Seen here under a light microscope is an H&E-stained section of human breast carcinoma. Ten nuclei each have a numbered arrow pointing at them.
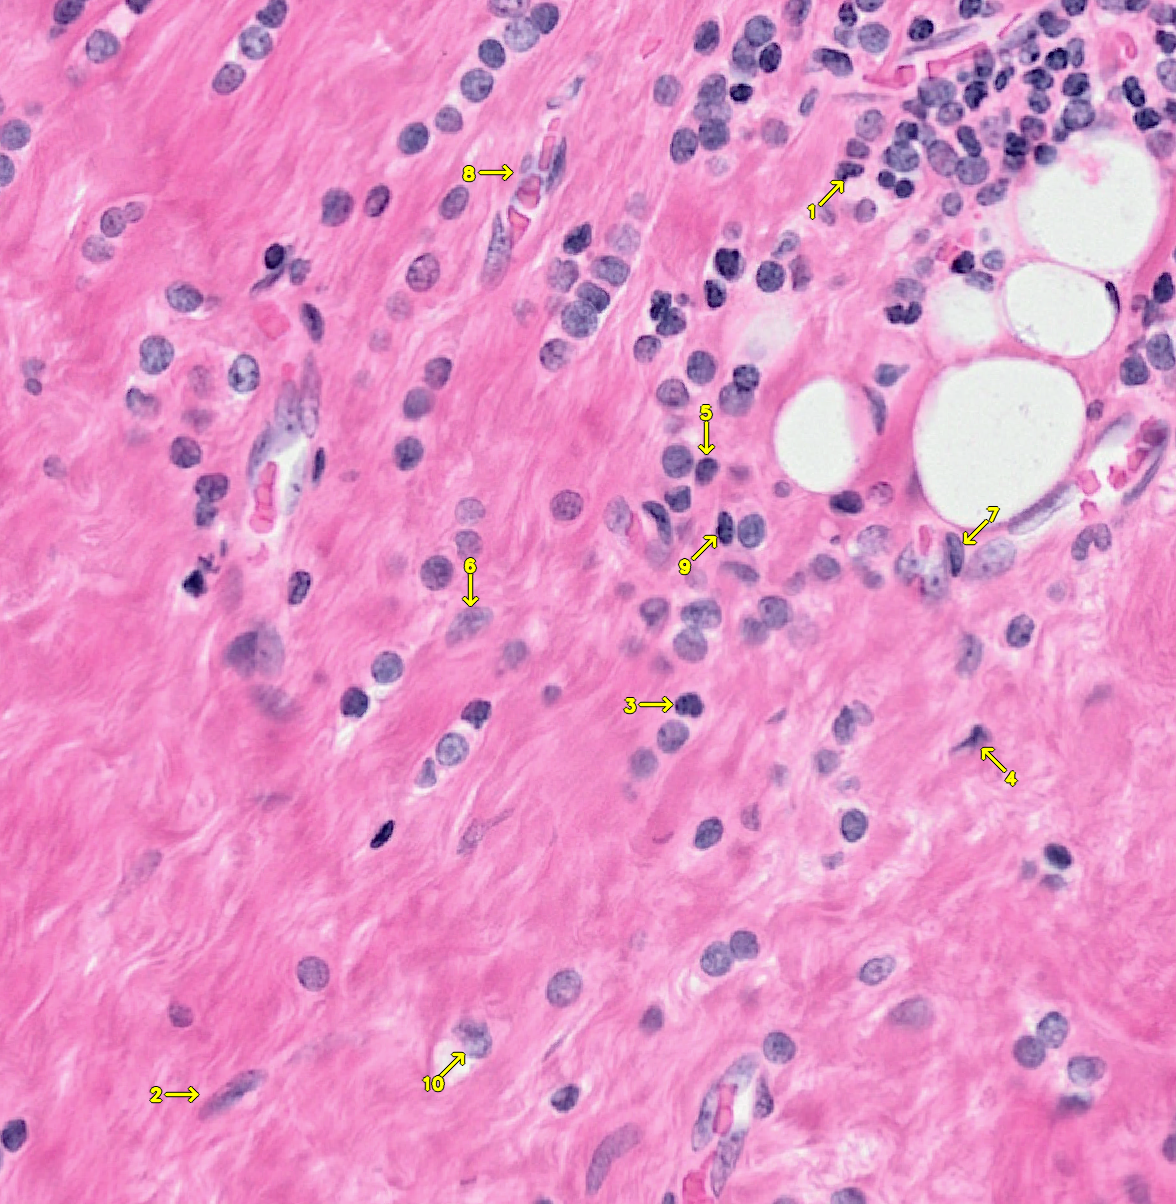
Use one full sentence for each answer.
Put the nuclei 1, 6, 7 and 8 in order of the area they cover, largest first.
The nuclei rank 8, 6, 7, 1, from largest to smallest.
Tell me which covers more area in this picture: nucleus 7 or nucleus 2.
Nucleus 2 is larger, with an area about 2 times that of nucleus 7.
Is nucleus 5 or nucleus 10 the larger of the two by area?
At about 1.5 times the area of nucleus 5, nucleus 10 is the larger of the two.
